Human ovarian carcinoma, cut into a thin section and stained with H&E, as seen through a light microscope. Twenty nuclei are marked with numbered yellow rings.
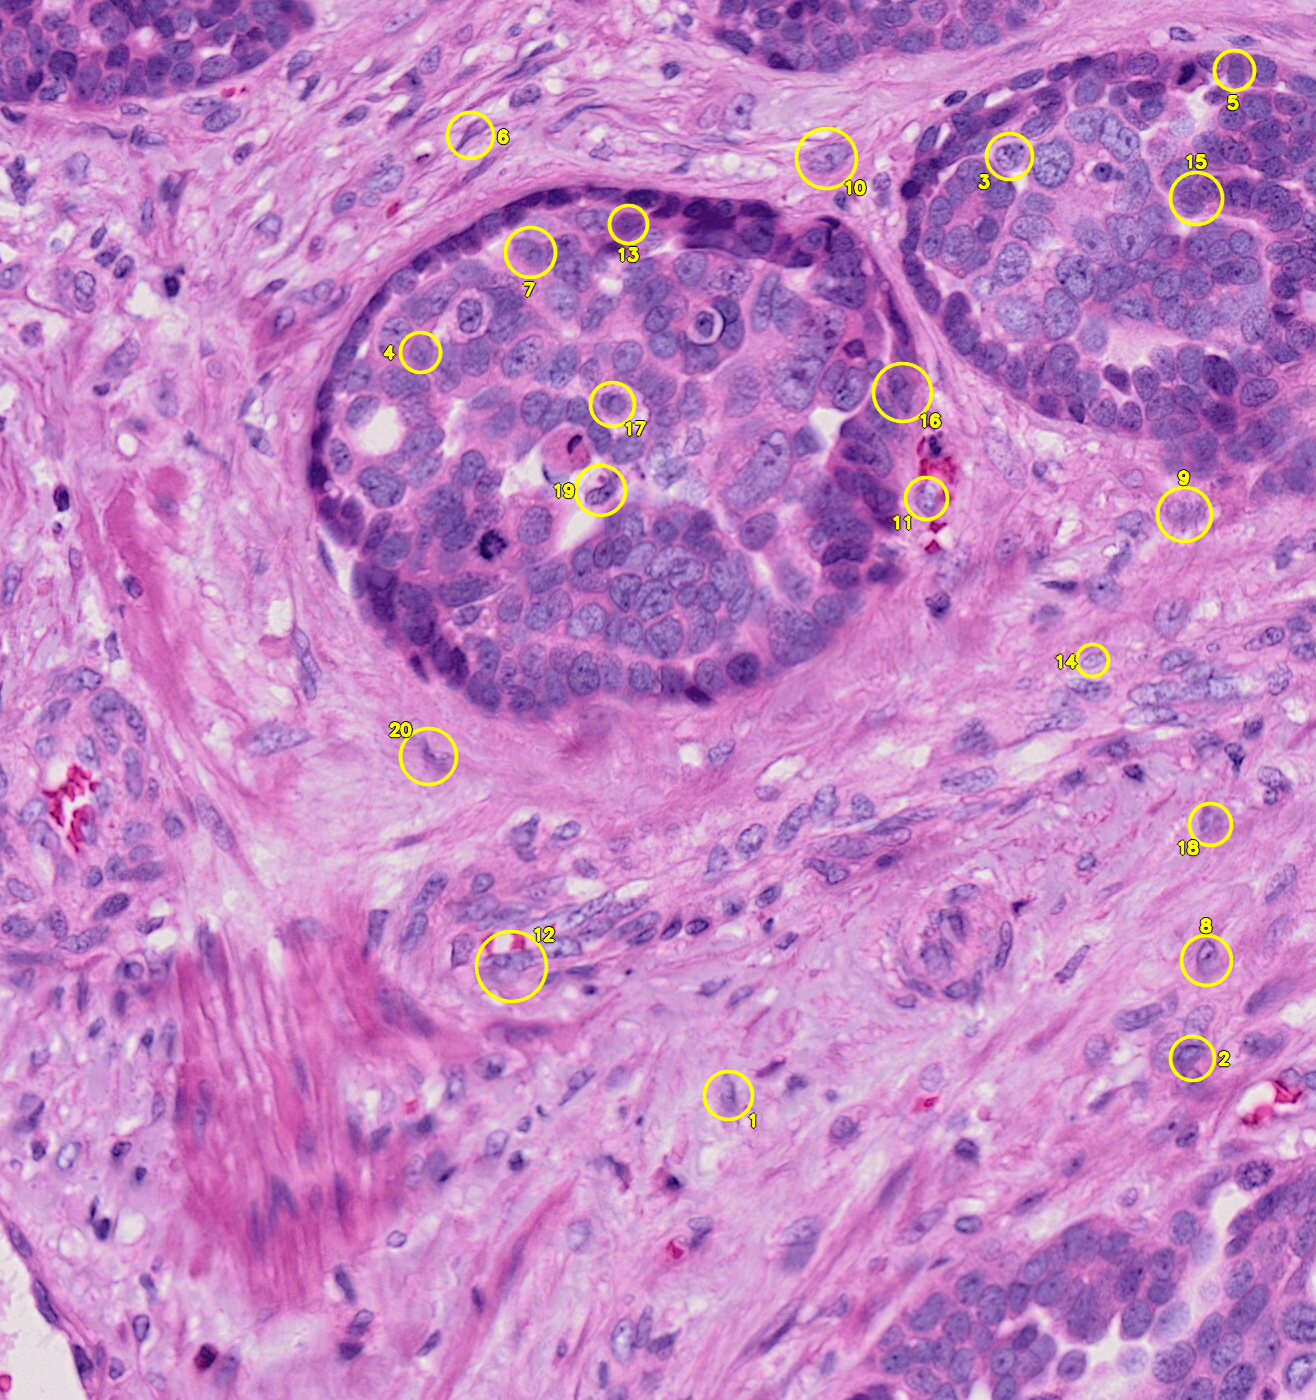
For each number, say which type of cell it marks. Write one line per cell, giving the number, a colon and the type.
1: fibroblast
2: endothelial cell
3: macrophage or monocyte
4: carcinoma cell
5: carcinoma cell
6: fibroblast
7: carcinoma cell
8: fibroblast
9: fibroblast
10: fibroblast
11: endothelial cell
12: endothelial cell
13: carcinoma cell
14: fibroblast
15: carcinoma cell
16: carcinoma cell
17: macrophage or monocyte
18: fibroblast
19: macrophage or monocyte
20: fibroblast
